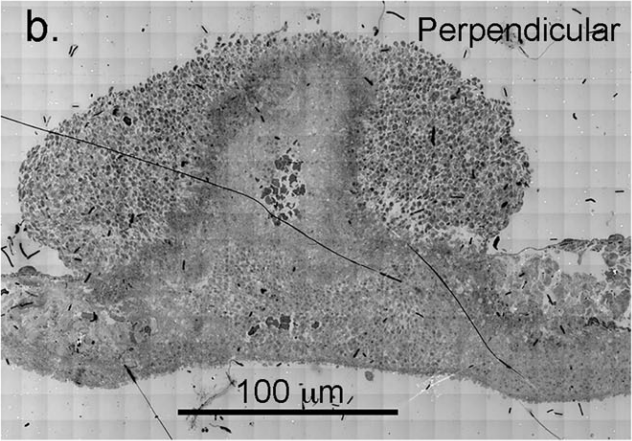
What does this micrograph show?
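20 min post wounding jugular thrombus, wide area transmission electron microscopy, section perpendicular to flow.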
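The dome is made of countless small, dark profiles packed closely together. Its left and right halves are nearly alike, giving it an almost symmetric outline. Through its middle rises a darker, denser zone, where the packing is tightest, with a small cluster of dark rounded profiles inside it. At the bottom the dome sits on a broad band of tissue belonging to the vessel wall.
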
